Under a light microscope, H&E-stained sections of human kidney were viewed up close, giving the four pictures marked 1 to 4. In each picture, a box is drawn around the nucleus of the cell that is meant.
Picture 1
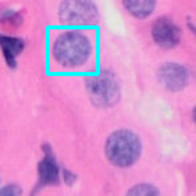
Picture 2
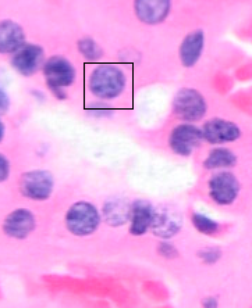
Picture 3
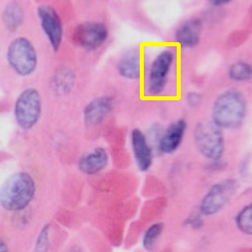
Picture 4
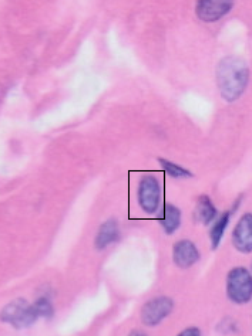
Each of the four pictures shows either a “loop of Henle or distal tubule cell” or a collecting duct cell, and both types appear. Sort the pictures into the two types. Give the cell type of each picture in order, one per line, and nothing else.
collecting duct cell
collecting duct cell
loop of Henle or distal tubule cell
collecting duct cell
